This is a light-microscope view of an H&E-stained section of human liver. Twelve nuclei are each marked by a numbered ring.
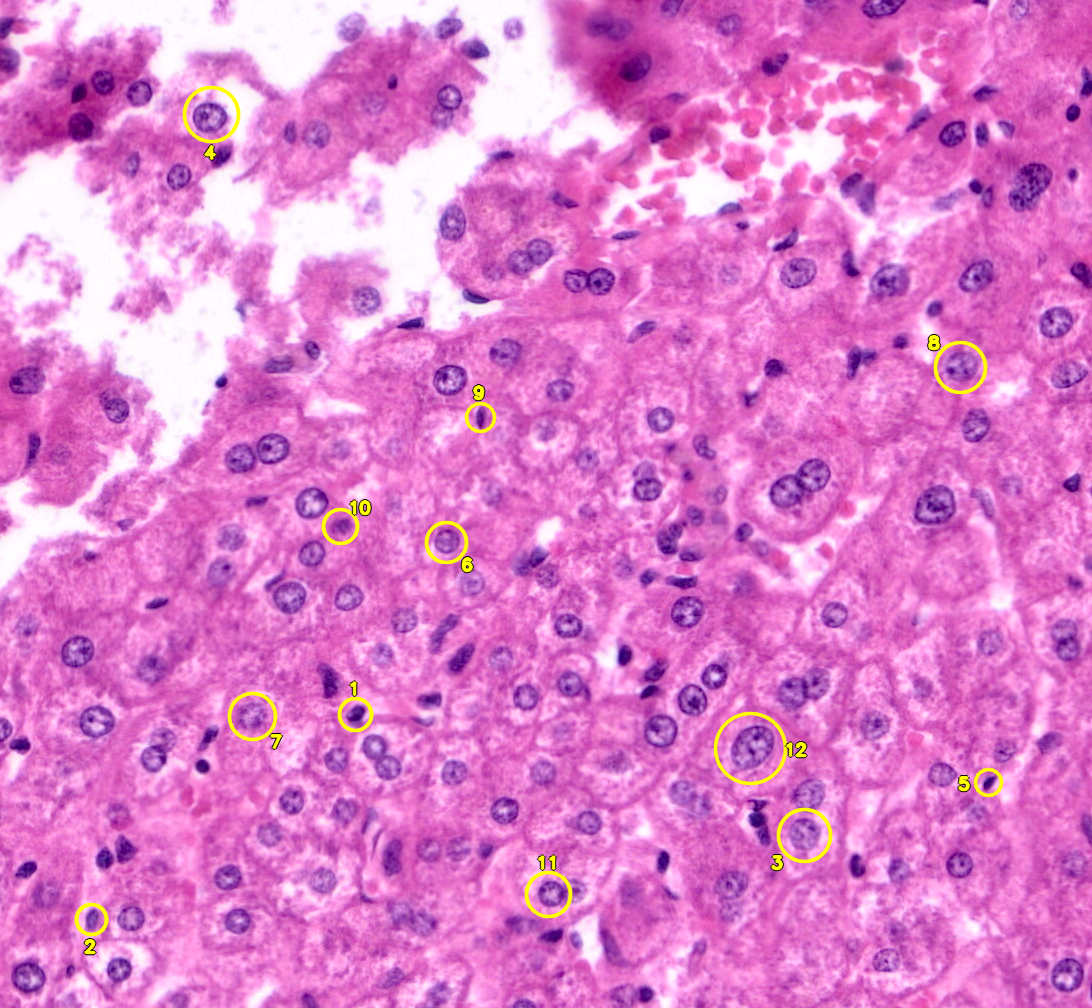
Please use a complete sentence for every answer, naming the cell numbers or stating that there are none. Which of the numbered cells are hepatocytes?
The cells referred to by numbers 3, 4, 6, 7, 8, 11 and 12 are hepatocytes.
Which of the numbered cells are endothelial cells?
Among the marked cells, an endothelial cell is found only at number 9.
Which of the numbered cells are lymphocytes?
On this slide, the cells numbered 1 and 2 are lymphocytes.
